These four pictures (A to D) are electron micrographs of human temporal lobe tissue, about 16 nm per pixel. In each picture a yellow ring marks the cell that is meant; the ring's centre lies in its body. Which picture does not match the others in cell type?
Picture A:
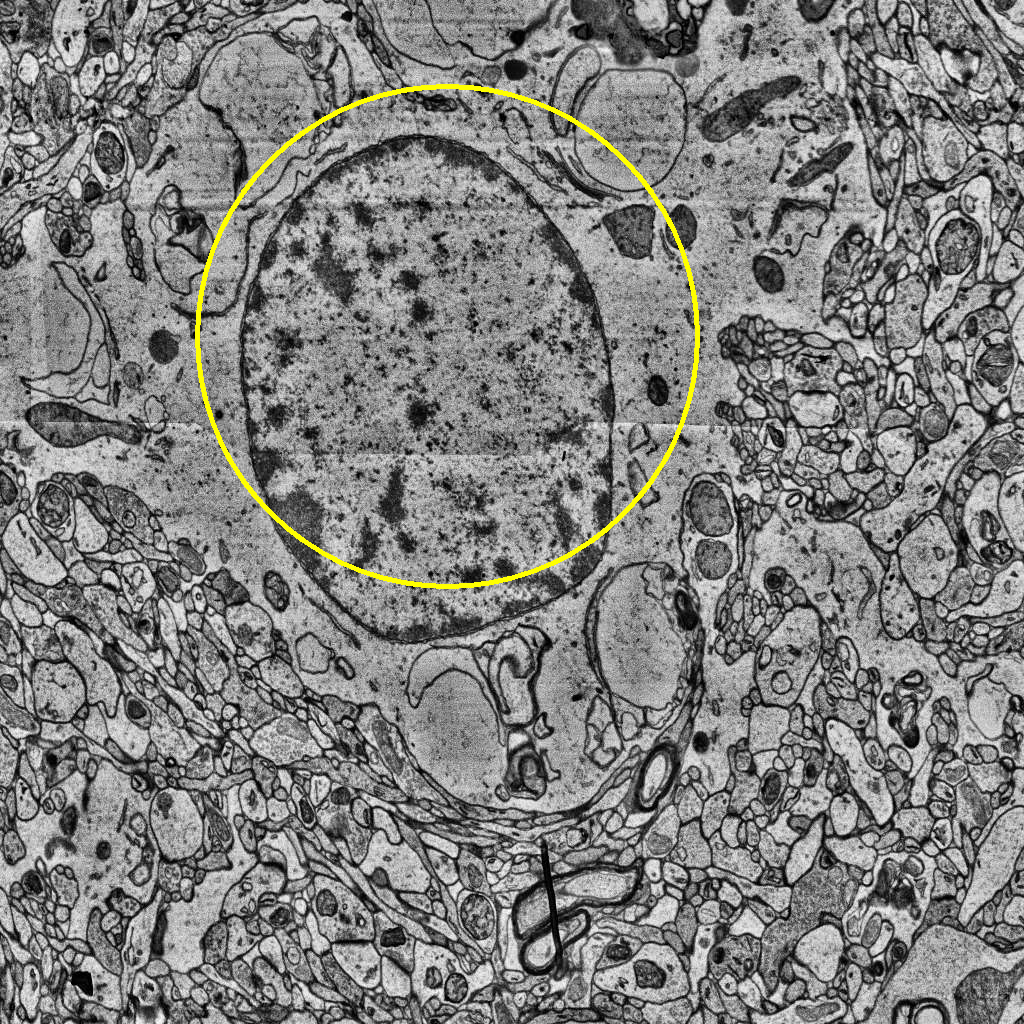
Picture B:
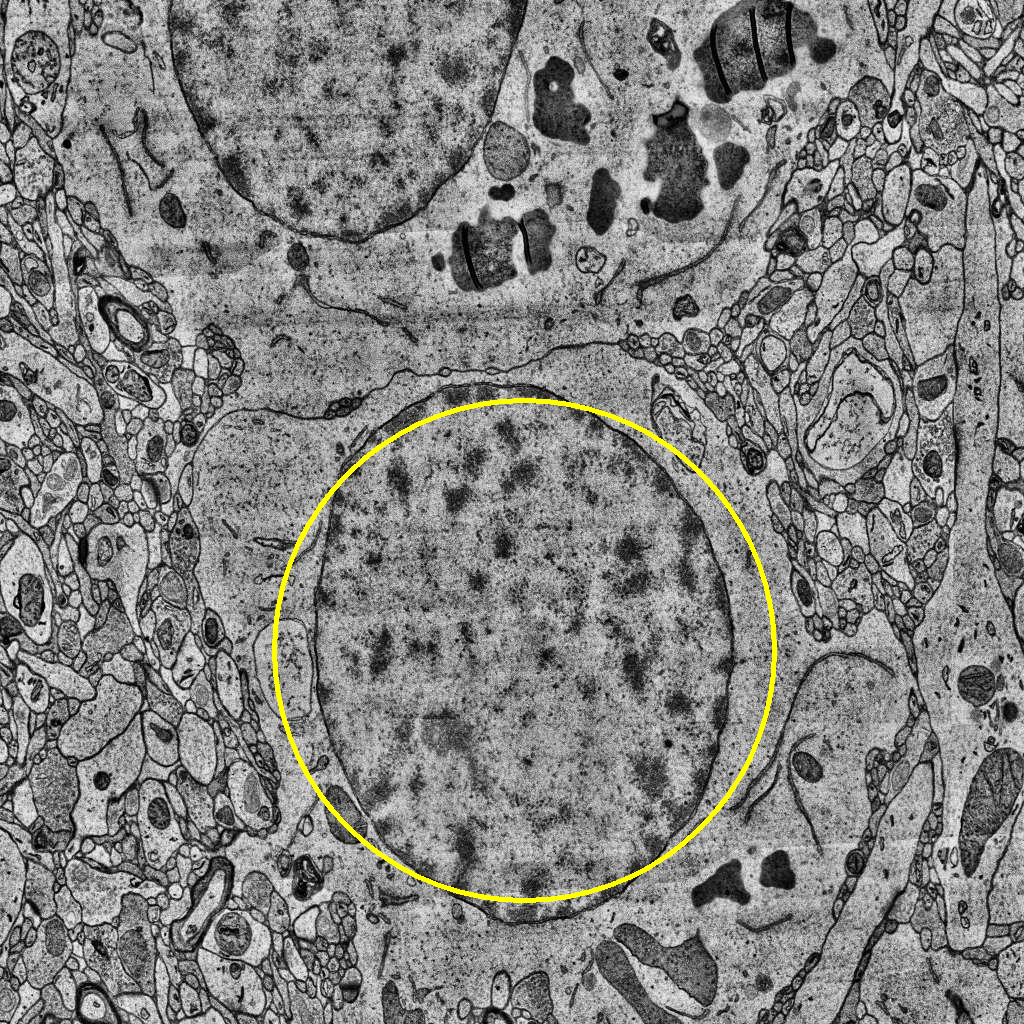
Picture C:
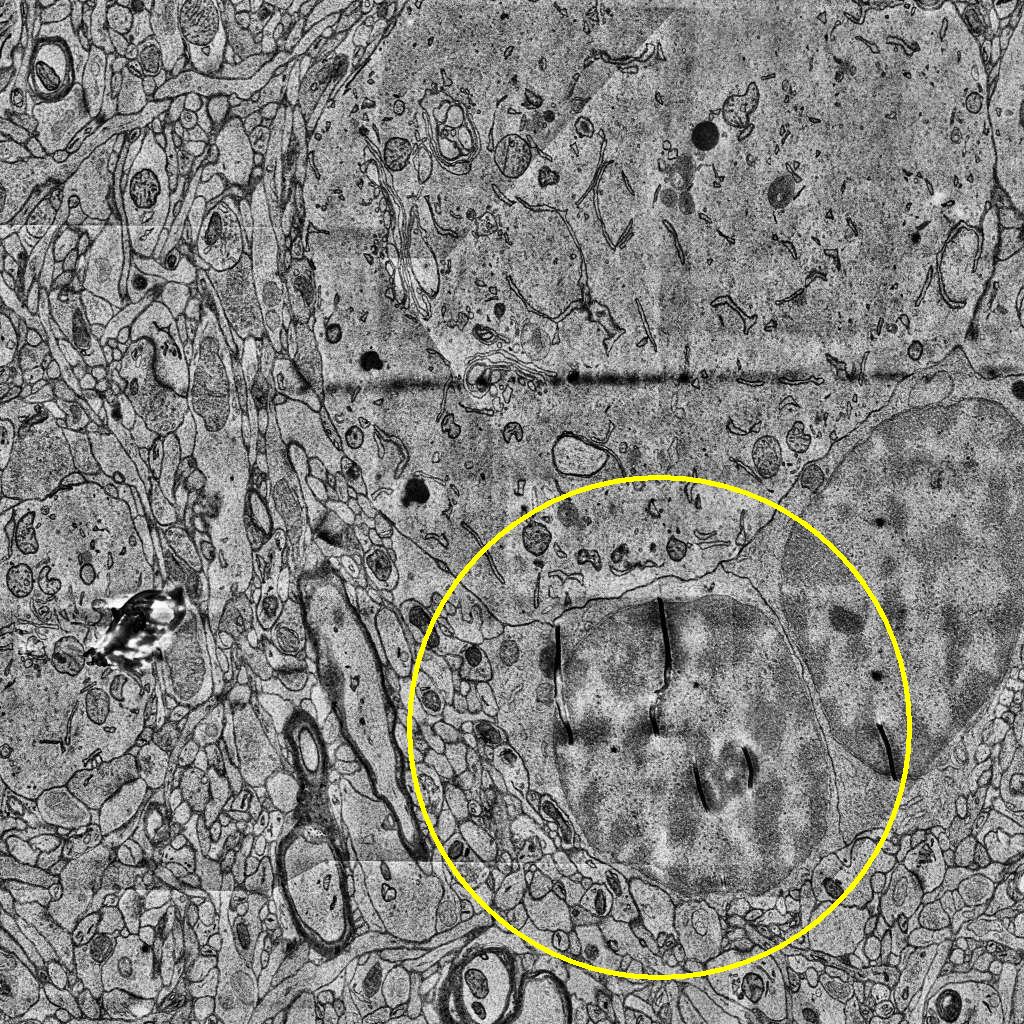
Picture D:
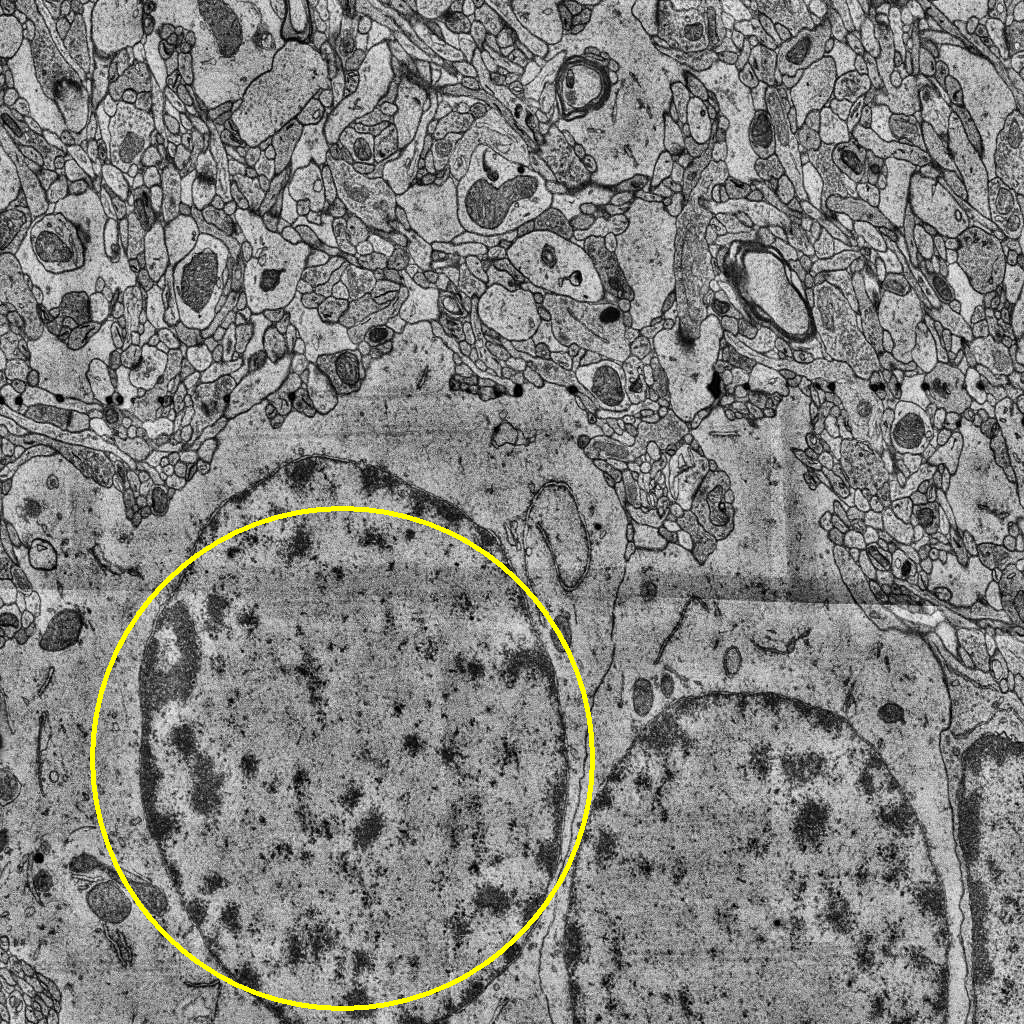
The others show astrocytes, but picture C shows an oligodendrocyte.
